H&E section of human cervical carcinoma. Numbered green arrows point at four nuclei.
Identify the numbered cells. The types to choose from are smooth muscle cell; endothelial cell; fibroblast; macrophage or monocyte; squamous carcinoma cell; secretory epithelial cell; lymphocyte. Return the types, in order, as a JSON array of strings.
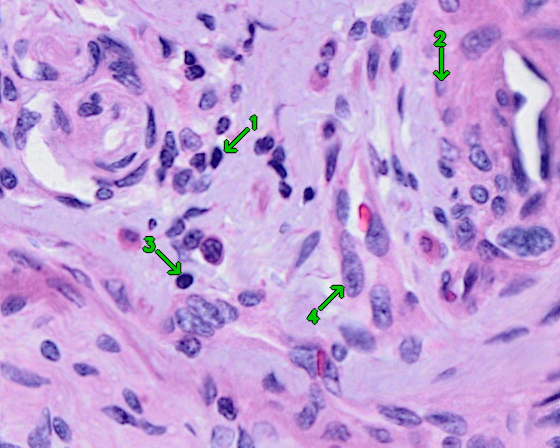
["lymphocyte", "smooth muscle cell", "lymphocyte", "endothelial cell"]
